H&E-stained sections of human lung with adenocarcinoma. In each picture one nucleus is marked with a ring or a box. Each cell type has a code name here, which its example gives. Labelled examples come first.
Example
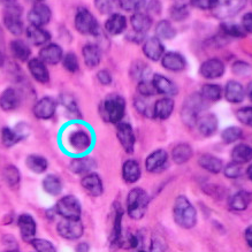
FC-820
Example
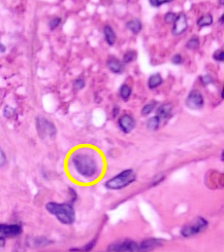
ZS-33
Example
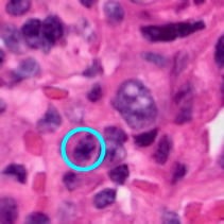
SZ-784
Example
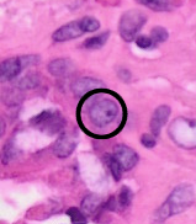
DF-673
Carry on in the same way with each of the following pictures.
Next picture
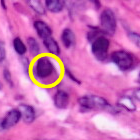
SZ-784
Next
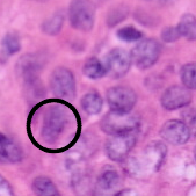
DF-673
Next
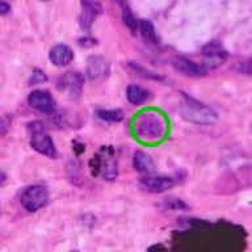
SZ-784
